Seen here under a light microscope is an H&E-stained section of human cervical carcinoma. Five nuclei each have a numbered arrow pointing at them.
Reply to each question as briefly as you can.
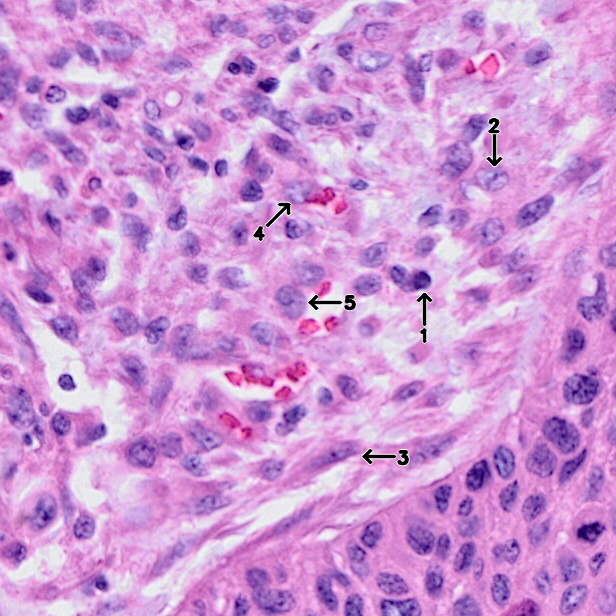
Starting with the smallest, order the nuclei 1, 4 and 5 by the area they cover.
1, 4, 5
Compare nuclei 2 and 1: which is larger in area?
2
